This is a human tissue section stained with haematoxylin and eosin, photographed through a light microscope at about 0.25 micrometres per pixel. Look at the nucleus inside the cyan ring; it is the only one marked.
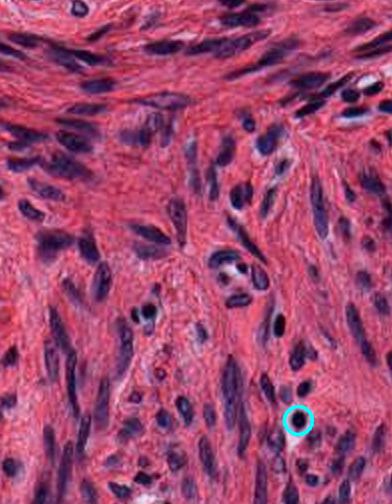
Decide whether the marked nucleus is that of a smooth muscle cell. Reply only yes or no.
no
